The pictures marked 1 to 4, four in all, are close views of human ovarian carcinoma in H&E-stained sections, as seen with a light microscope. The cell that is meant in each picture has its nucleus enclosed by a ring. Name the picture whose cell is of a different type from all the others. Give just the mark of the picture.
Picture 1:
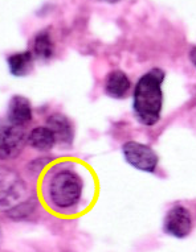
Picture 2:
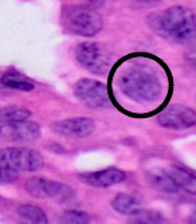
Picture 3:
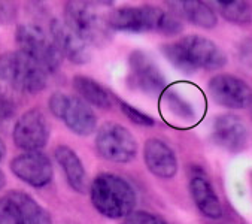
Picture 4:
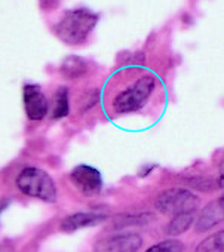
4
